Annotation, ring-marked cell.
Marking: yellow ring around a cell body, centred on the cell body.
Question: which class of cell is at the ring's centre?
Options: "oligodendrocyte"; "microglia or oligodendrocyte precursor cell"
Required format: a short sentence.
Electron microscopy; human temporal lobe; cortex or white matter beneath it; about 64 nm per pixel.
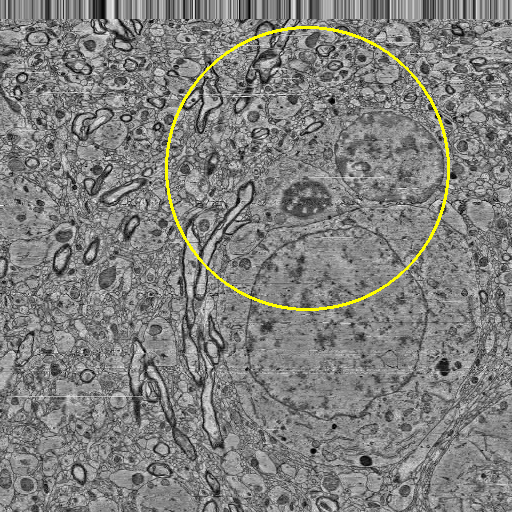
At the ring's centre is an oligodendrocyte.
